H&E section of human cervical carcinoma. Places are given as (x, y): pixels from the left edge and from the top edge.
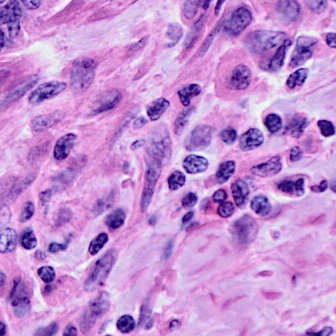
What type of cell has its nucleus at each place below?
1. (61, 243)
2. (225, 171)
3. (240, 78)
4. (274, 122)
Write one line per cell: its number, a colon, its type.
1: lymphocyte
2: lymphocyte
3: macrophage or monocyte
4: lymphocyte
